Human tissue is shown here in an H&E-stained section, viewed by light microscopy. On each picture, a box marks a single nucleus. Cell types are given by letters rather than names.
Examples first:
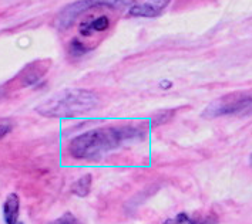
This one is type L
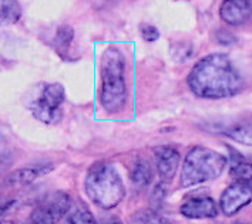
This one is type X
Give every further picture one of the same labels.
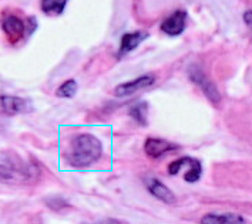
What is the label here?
type X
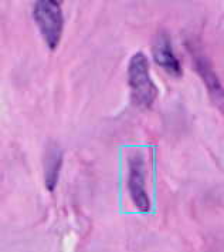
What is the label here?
type L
